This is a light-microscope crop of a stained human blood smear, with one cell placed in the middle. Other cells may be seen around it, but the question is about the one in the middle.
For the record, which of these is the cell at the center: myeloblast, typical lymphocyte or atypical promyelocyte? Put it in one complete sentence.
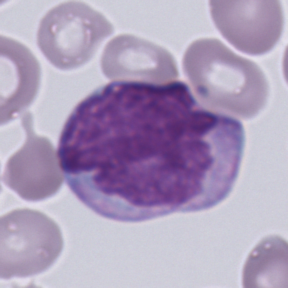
On this slide crop, the central cell is an atypical promyelocyte.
